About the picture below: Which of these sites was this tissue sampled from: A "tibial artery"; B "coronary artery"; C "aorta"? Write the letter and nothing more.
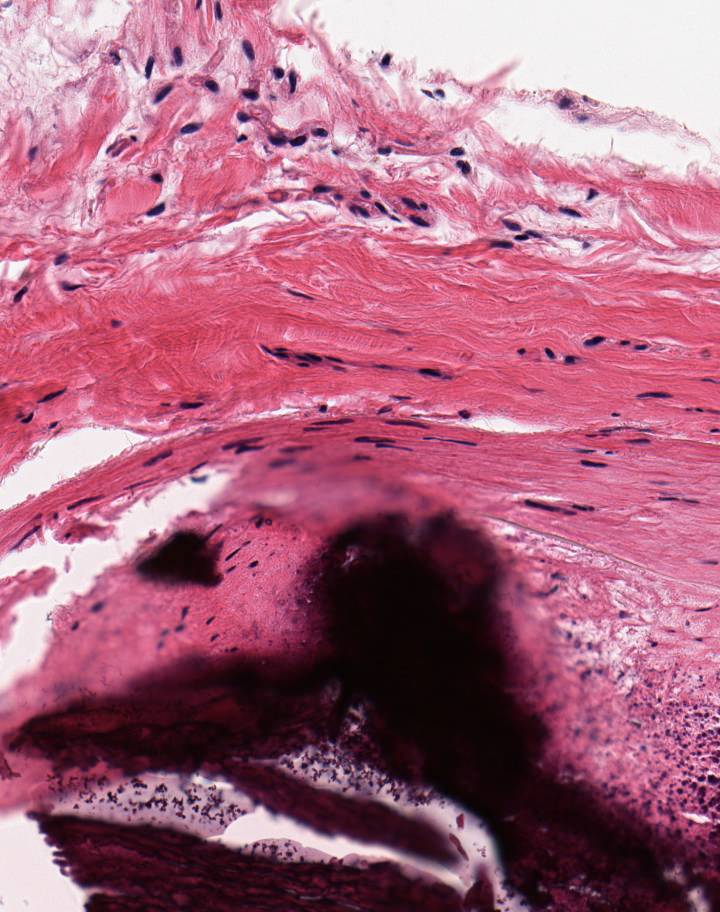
B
